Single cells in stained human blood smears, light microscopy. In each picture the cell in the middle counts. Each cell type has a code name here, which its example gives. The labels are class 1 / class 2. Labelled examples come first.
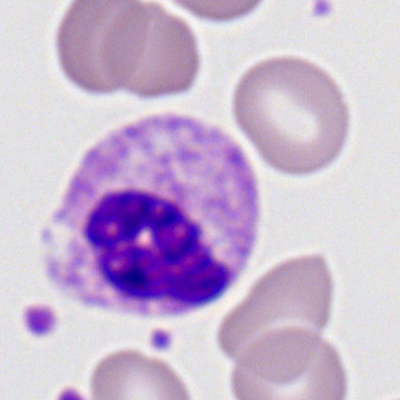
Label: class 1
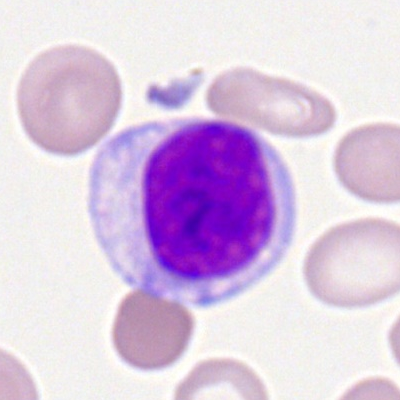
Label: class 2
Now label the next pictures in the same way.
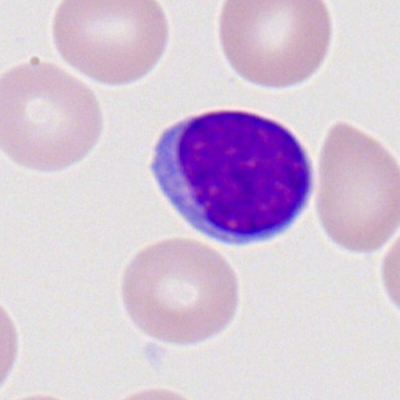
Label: class 2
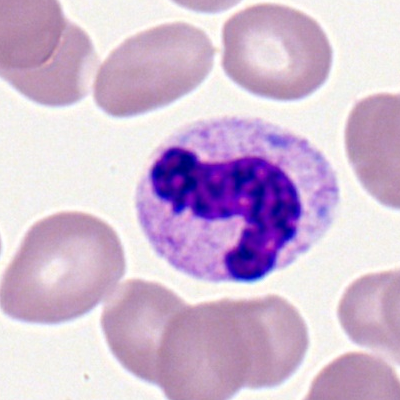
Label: class 1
